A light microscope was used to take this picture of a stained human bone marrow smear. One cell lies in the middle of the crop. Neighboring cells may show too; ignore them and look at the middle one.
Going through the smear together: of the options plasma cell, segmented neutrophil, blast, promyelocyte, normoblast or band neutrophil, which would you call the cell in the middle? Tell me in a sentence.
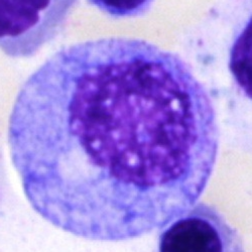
To answer, the cell in the center of the crop is a promyelocyte.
